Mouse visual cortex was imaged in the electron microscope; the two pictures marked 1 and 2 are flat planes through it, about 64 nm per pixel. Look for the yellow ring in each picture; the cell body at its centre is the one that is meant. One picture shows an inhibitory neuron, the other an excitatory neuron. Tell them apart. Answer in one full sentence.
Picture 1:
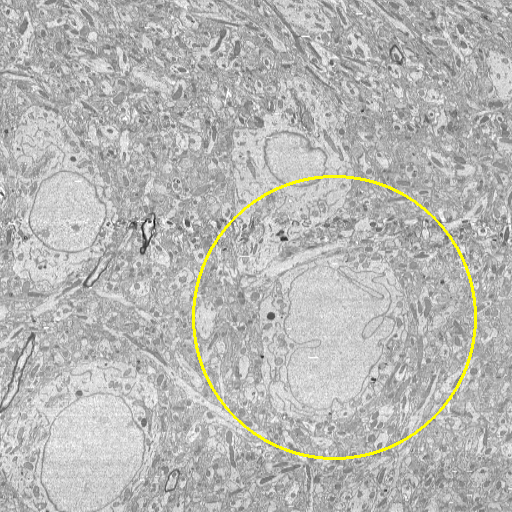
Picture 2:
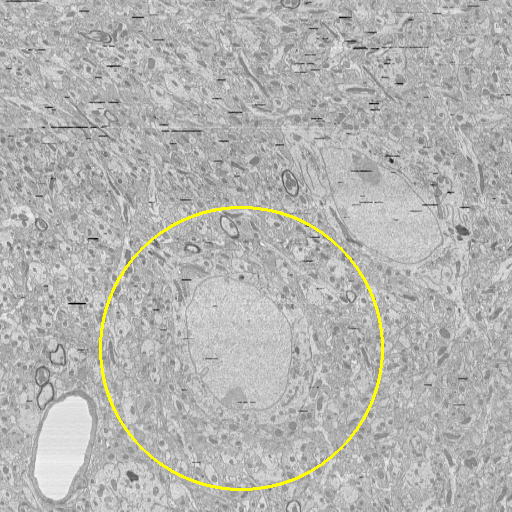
In picture 1 the cell is an inhibitory neuron; in picture 2, an excitatory neuron.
